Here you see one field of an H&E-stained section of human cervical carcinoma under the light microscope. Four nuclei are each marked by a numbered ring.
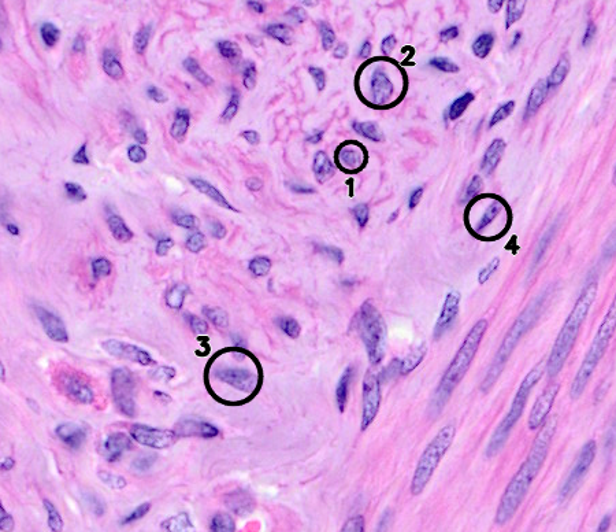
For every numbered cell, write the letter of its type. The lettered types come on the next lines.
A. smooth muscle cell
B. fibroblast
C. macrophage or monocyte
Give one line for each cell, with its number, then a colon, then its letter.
1: A
2: A
3: B
4: A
